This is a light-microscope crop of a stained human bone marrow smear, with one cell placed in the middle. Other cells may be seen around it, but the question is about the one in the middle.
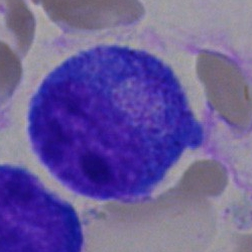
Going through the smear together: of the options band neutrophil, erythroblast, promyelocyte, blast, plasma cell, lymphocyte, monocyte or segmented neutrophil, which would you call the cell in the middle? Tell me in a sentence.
The cell in the middle of the field of view is a promyelocyte.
